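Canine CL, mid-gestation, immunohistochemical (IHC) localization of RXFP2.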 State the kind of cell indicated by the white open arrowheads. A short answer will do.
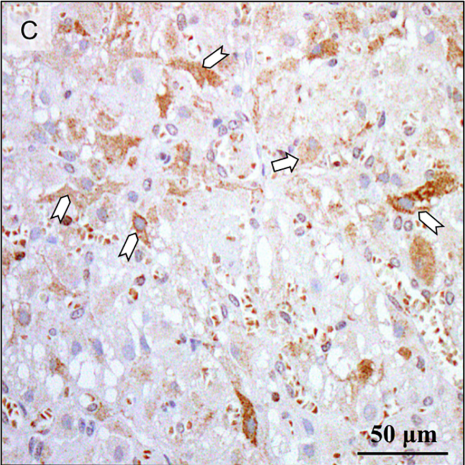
Macrophages.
